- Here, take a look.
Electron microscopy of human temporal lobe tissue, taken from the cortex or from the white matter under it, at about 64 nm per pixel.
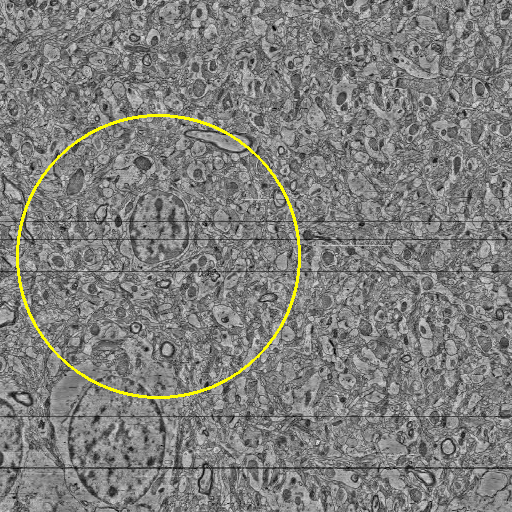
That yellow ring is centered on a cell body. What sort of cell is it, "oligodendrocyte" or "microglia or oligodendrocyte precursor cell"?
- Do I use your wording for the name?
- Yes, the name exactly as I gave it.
microglia or oligodendrocyte precursor cell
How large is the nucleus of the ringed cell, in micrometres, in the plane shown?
About 5 by 4 micrometers, in this plane.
